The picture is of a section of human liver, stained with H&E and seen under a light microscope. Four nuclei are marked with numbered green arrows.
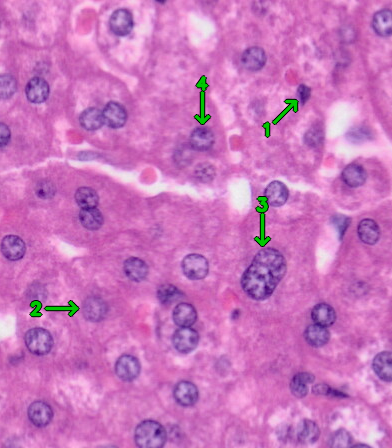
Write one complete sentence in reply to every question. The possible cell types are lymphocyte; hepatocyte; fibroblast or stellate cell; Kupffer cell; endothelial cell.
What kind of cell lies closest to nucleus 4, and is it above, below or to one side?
The nearest one is a hepatocyte, found below and to the left of nucleus 4.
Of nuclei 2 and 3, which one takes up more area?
Of the two, number 3 is bigger and takes up about 3 times the area of number 2.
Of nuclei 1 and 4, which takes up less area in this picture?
Number 1 is smaller, since number 4 takes up about 2 times as much area.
